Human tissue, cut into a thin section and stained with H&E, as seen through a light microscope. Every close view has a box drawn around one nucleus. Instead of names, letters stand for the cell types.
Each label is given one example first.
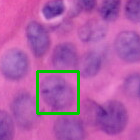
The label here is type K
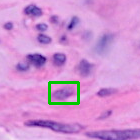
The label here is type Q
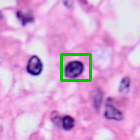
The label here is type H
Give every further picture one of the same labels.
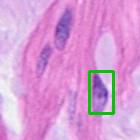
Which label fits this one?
type Q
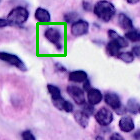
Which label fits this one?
type H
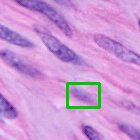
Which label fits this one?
type Q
